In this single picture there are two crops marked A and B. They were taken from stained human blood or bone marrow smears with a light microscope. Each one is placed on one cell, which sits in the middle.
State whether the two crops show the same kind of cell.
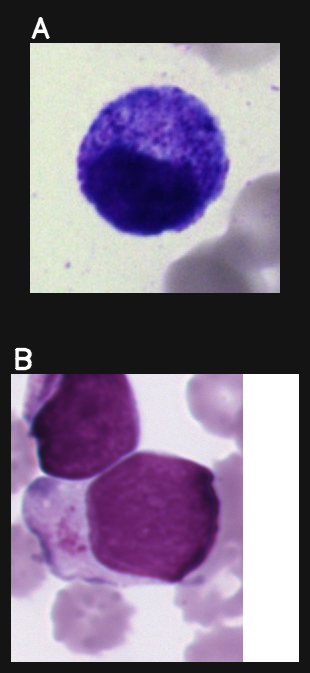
no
